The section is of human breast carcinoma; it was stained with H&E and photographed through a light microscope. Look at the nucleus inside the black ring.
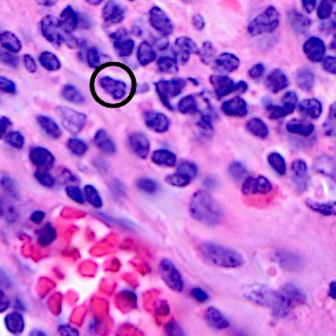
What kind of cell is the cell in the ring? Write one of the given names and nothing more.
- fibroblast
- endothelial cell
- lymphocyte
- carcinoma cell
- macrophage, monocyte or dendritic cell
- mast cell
lymphocyte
